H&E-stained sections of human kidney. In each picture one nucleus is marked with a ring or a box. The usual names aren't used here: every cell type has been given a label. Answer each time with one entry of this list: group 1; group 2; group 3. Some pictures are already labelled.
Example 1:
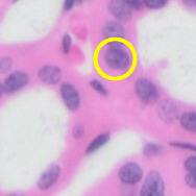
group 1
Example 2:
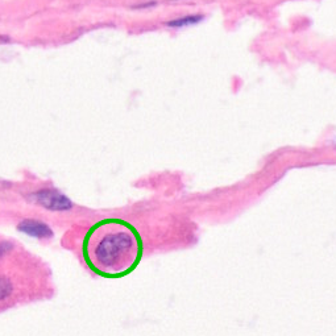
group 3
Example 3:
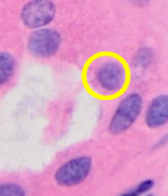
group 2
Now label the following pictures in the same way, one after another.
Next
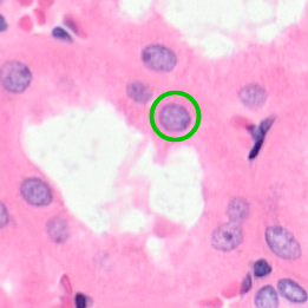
group 3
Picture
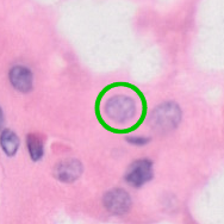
group 3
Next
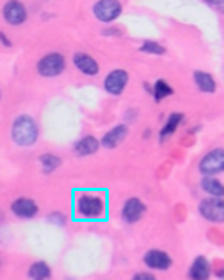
group 2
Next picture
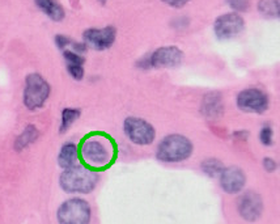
group 1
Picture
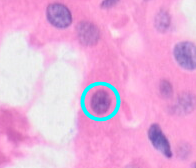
group 3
